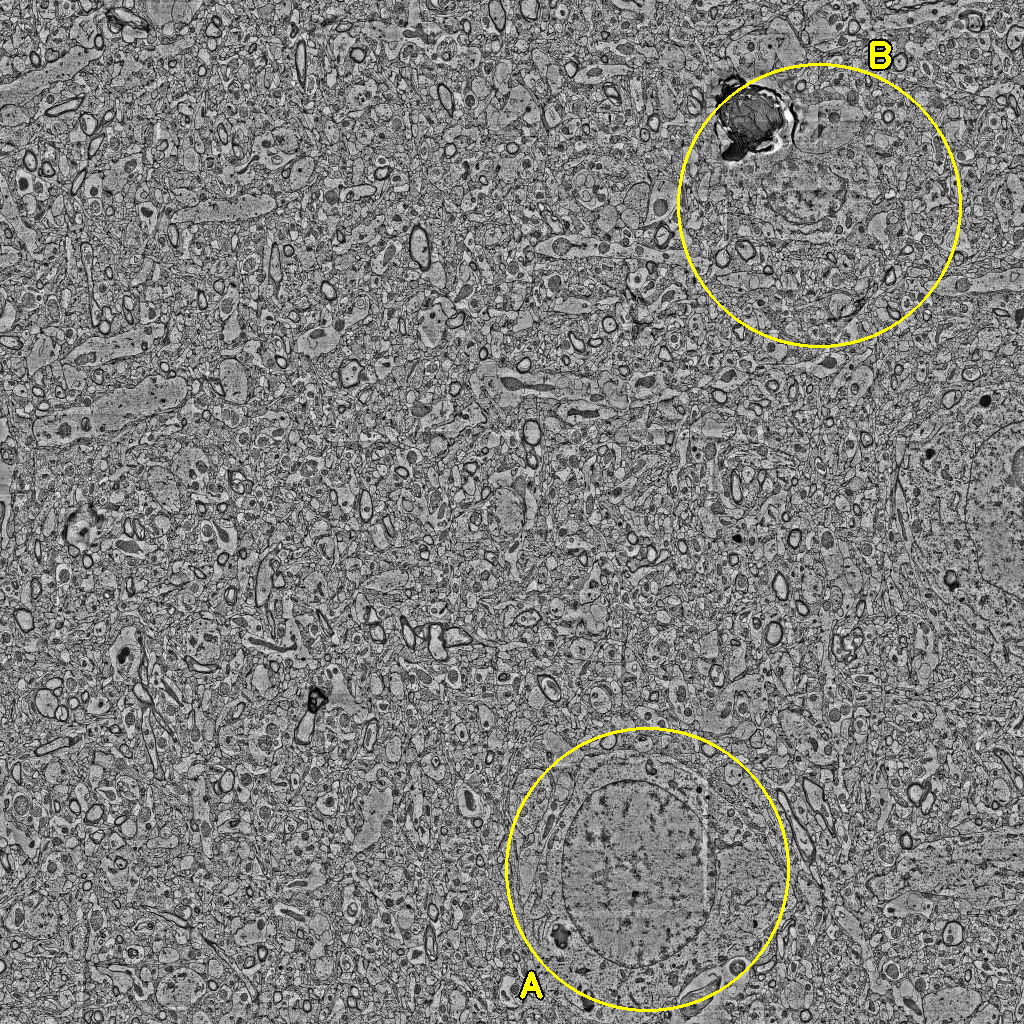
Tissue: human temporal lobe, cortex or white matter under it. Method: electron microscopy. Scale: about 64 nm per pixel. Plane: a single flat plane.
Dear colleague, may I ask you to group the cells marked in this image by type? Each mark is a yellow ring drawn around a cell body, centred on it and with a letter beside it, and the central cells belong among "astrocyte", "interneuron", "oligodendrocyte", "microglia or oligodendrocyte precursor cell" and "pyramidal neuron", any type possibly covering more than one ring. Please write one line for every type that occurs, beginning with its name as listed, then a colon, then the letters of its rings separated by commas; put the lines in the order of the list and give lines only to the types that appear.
interneuron: B
pyramidal neuron: A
